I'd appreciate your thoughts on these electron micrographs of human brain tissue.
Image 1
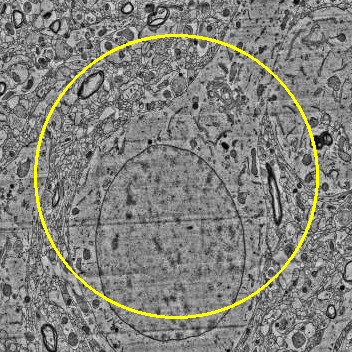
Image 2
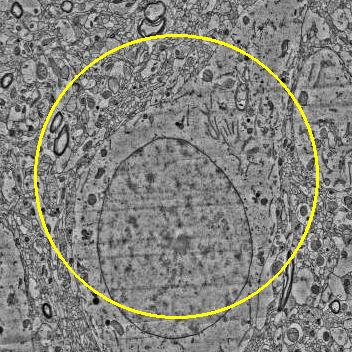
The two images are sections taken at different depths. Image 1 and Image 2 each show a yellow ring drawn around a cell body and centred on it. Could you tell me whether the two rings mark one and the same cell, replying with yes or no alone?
yes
